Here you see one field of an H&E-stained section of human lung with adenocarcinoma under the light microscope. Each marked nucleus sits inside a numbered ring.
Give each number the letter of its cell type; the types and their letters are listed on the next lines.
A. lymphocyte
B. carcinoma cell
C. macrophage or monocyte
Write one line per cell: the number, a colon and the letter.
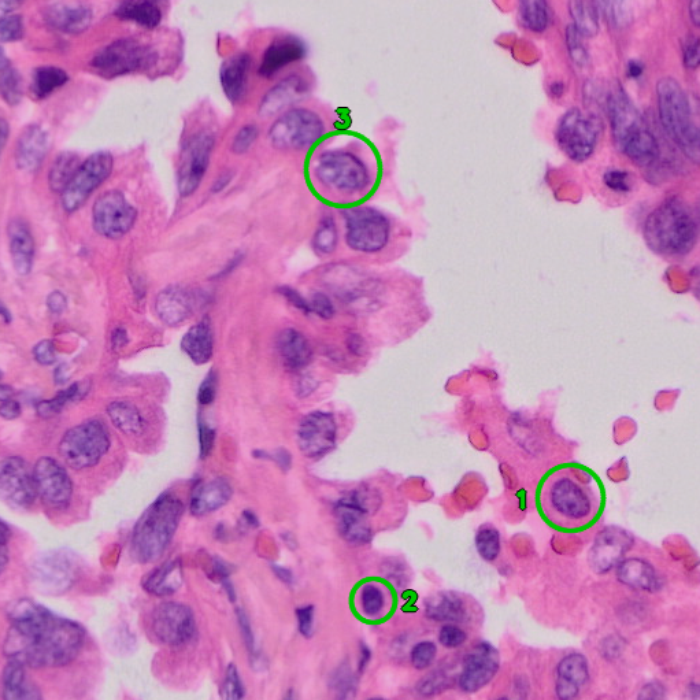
1: C
2: A
3: B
